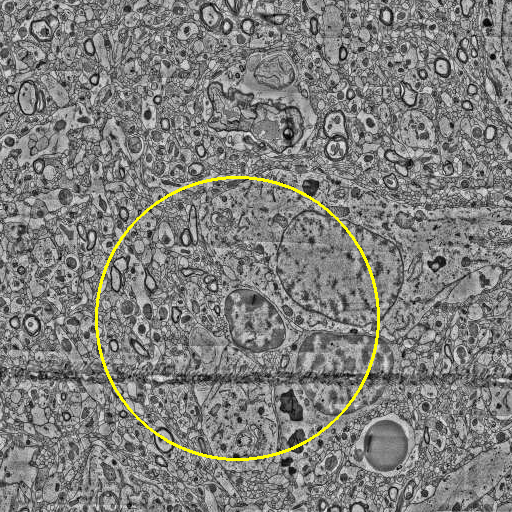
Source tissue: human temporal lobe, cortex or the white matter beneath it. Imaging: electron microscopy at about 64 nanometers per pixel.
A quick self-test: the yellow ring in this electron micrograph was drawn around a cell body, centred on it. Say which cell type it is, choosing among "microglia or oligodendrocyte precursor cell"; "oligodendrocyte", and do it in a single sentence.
The yellow-ringed cell is a microglial cell or oligodendrocyte precursor cell.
